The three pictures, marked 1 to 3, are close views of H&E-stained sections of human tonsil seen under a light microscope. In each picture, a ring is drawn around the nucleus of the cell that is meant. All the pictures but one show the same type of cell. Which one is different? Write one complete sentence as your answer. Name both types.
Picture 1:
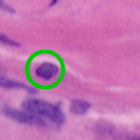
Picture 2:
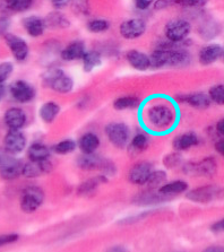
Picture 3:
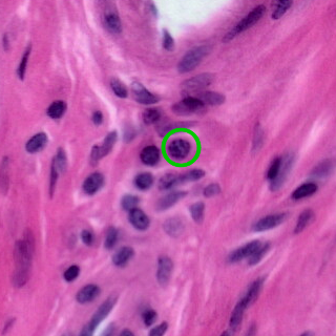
Picture 1 is the odd one out: it shows a mast cell, while the others show plasma cells.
